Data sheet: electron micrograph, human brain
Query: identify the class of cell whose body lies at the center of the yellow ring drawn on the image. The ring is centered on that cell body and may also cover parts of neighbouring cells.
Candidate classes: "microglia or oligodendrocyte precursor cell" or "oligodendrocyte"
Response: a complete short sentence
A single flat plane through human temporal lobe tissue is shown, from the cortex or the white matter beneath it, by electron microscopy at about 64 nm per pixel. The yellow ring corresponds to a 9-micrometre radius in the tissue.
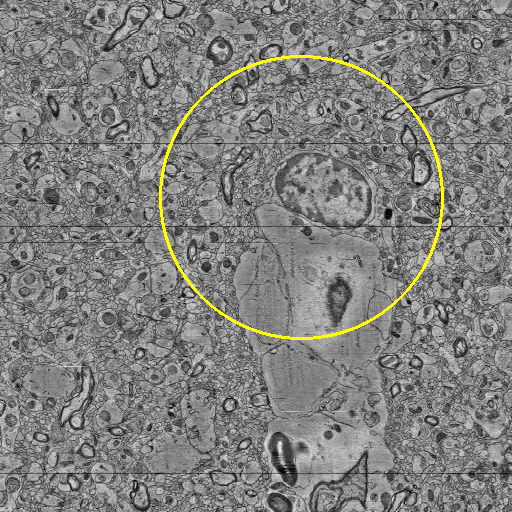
At the center of the ring lies a microglial cell or oligodendrocyte precursor cell.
